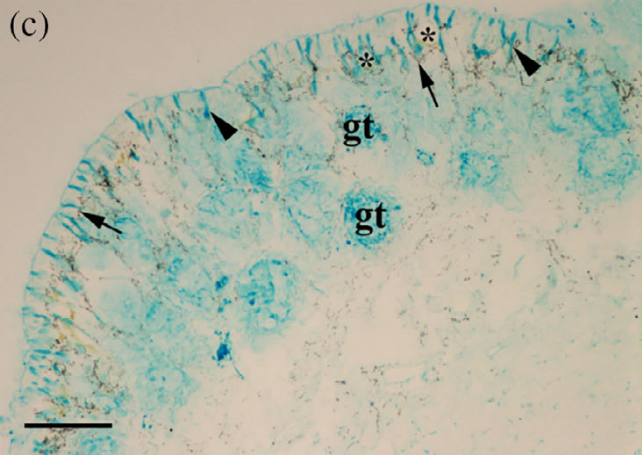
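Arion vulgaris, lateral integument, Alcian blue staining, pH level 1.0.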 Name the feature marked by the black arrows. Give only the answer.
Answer: Pigments.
